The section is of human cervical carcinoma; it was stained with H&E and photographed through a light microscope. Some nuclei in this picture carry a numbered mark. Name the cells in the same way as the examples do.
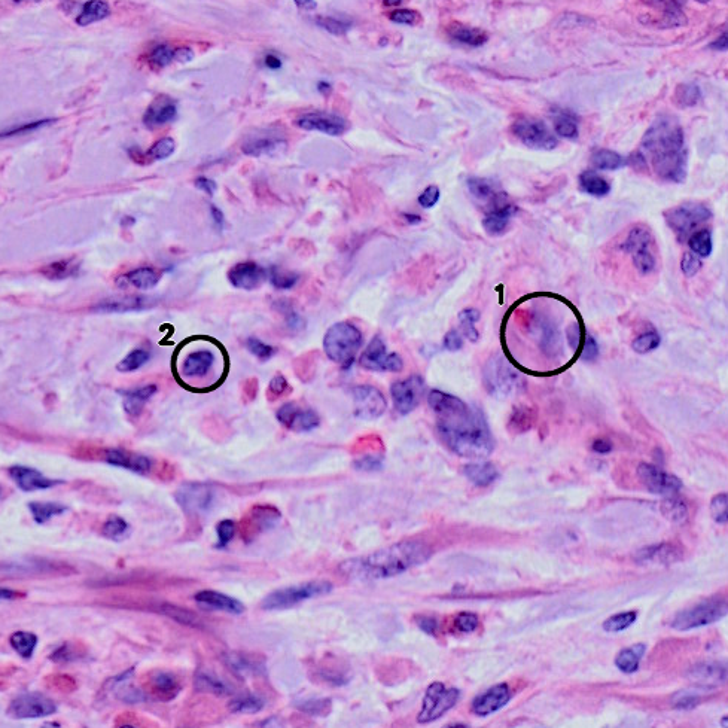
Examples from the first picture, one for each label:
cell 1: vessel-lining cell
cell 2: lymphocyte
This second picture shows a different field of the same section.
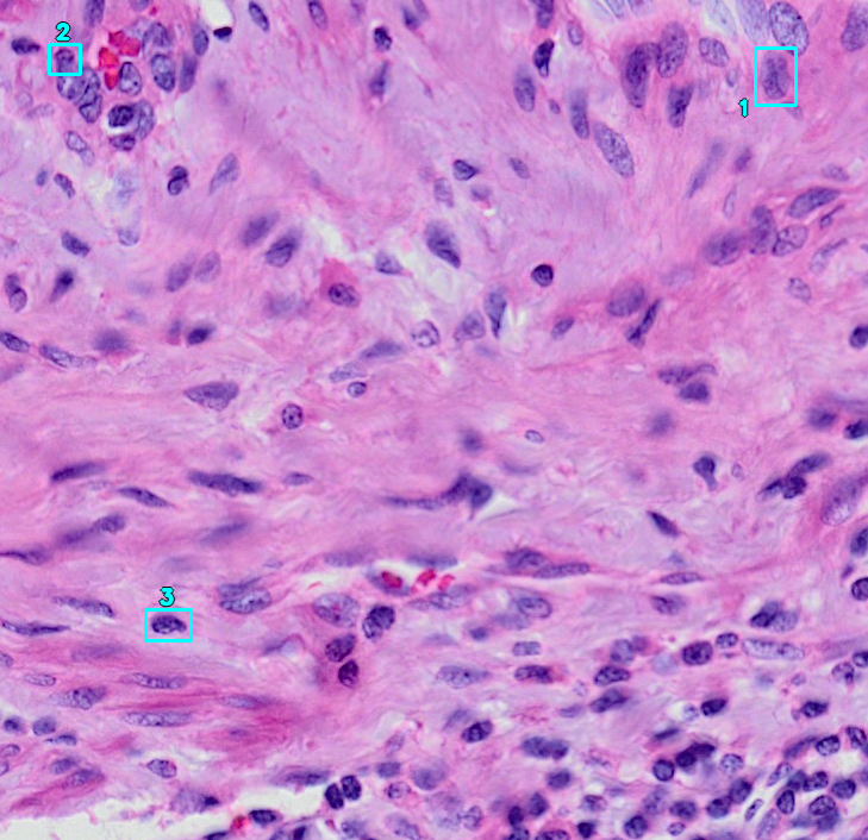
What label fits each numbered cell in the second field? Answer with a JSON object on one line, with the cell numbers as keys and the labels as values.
{"1": "vessel-lining cell", "2": "vessel-lining cell", "3": "lymphocyte"}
